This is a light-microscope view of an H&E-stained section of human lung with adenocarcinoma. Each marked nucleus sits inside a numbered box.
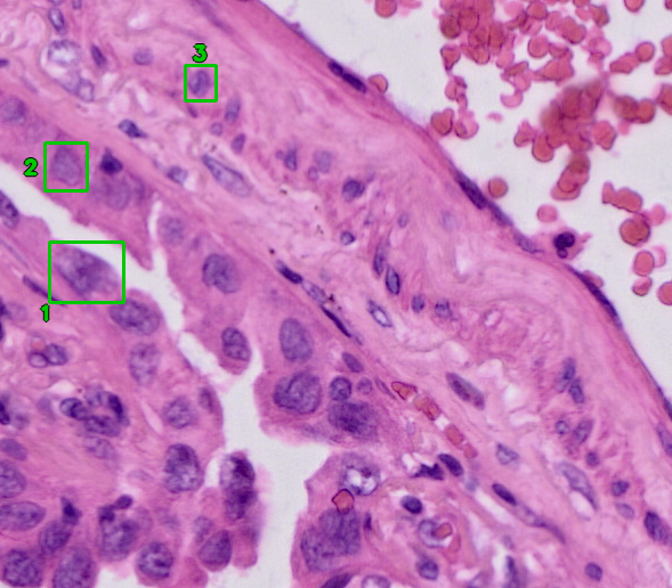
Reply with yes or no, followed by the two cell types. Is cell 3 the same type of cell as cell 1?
No, cell 3 is a smooth muscle cell or pericyte and cell 1 is a carcinoma cell.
